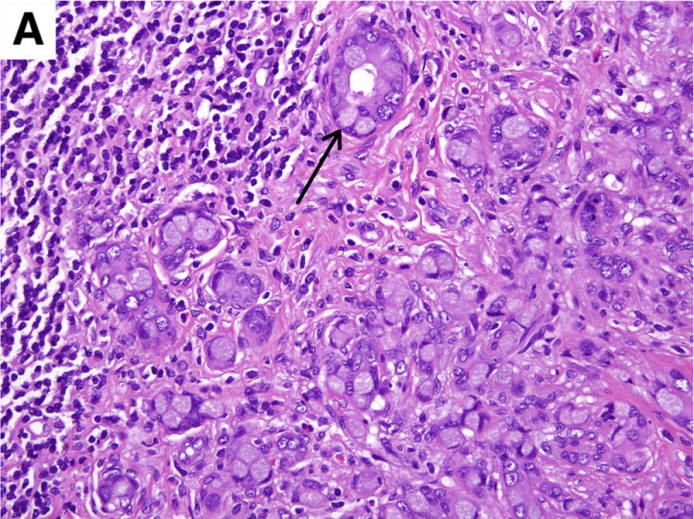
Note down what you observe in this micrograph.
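The tumor cells have pale, bubbly or vacuolated cytoplasm and enlarged nuclei that vary in size and shape, which is the cytologic atypia seen here. Some clusters are arranged around a small central space, like a tiny gland. On the left side lies a dense sheet of small cells with round, dark nuclei and scant cytoplasm, typical of lymphocytes, bordering the tumor.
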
